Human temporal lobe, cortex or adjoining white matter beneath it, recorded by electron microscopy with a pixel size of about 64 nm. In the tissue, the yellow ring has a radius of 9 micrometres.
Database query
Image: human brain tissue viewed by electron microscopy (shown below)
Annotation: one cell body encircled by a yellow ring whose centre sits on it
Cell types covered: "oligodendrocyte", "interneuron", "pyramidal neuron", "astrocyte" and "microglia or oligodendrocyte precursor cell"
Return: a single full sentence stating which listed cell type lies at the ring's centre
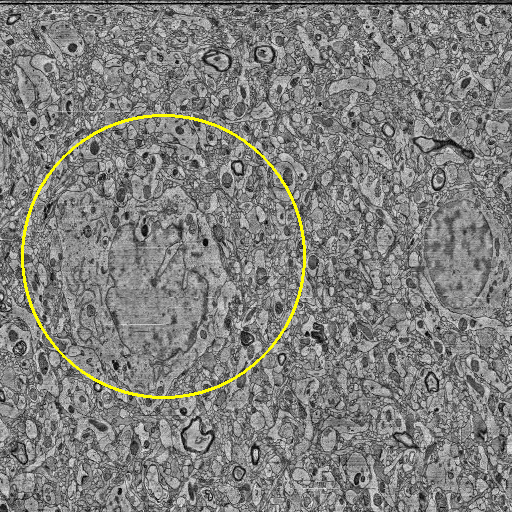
In the image, the cell lying at the ring's centre is an interneuron.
